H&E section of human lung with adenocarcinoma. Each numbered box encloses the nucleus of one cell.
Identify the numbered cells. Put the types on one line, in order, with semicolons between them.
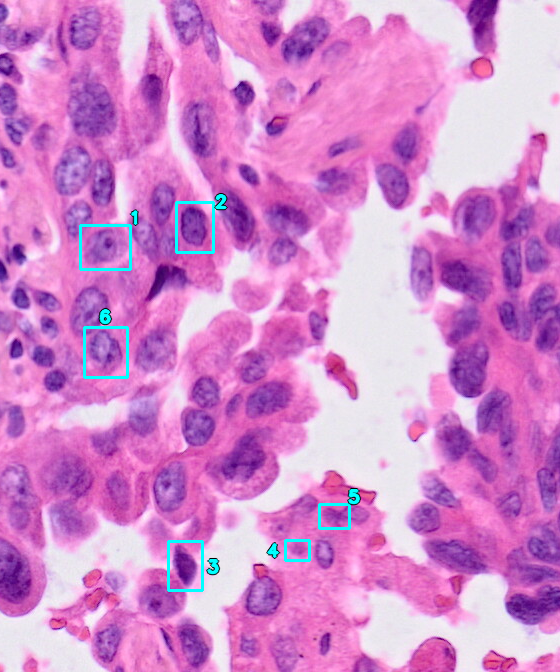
carcinoma cell; carcinoma cell; carcinoma cell; macrophage or monocyte; macrophage or monocyte; carcinoma cell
